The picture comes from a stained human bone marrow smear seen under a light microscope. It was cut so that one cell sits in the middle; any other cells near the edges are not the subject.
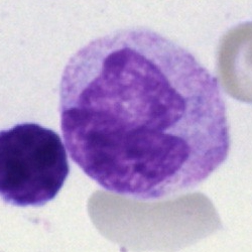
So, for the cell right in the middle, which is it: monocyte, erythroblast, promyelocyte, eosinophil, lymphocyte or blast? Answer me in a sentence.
The central element of this crop is a cell, namely a monocyte.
